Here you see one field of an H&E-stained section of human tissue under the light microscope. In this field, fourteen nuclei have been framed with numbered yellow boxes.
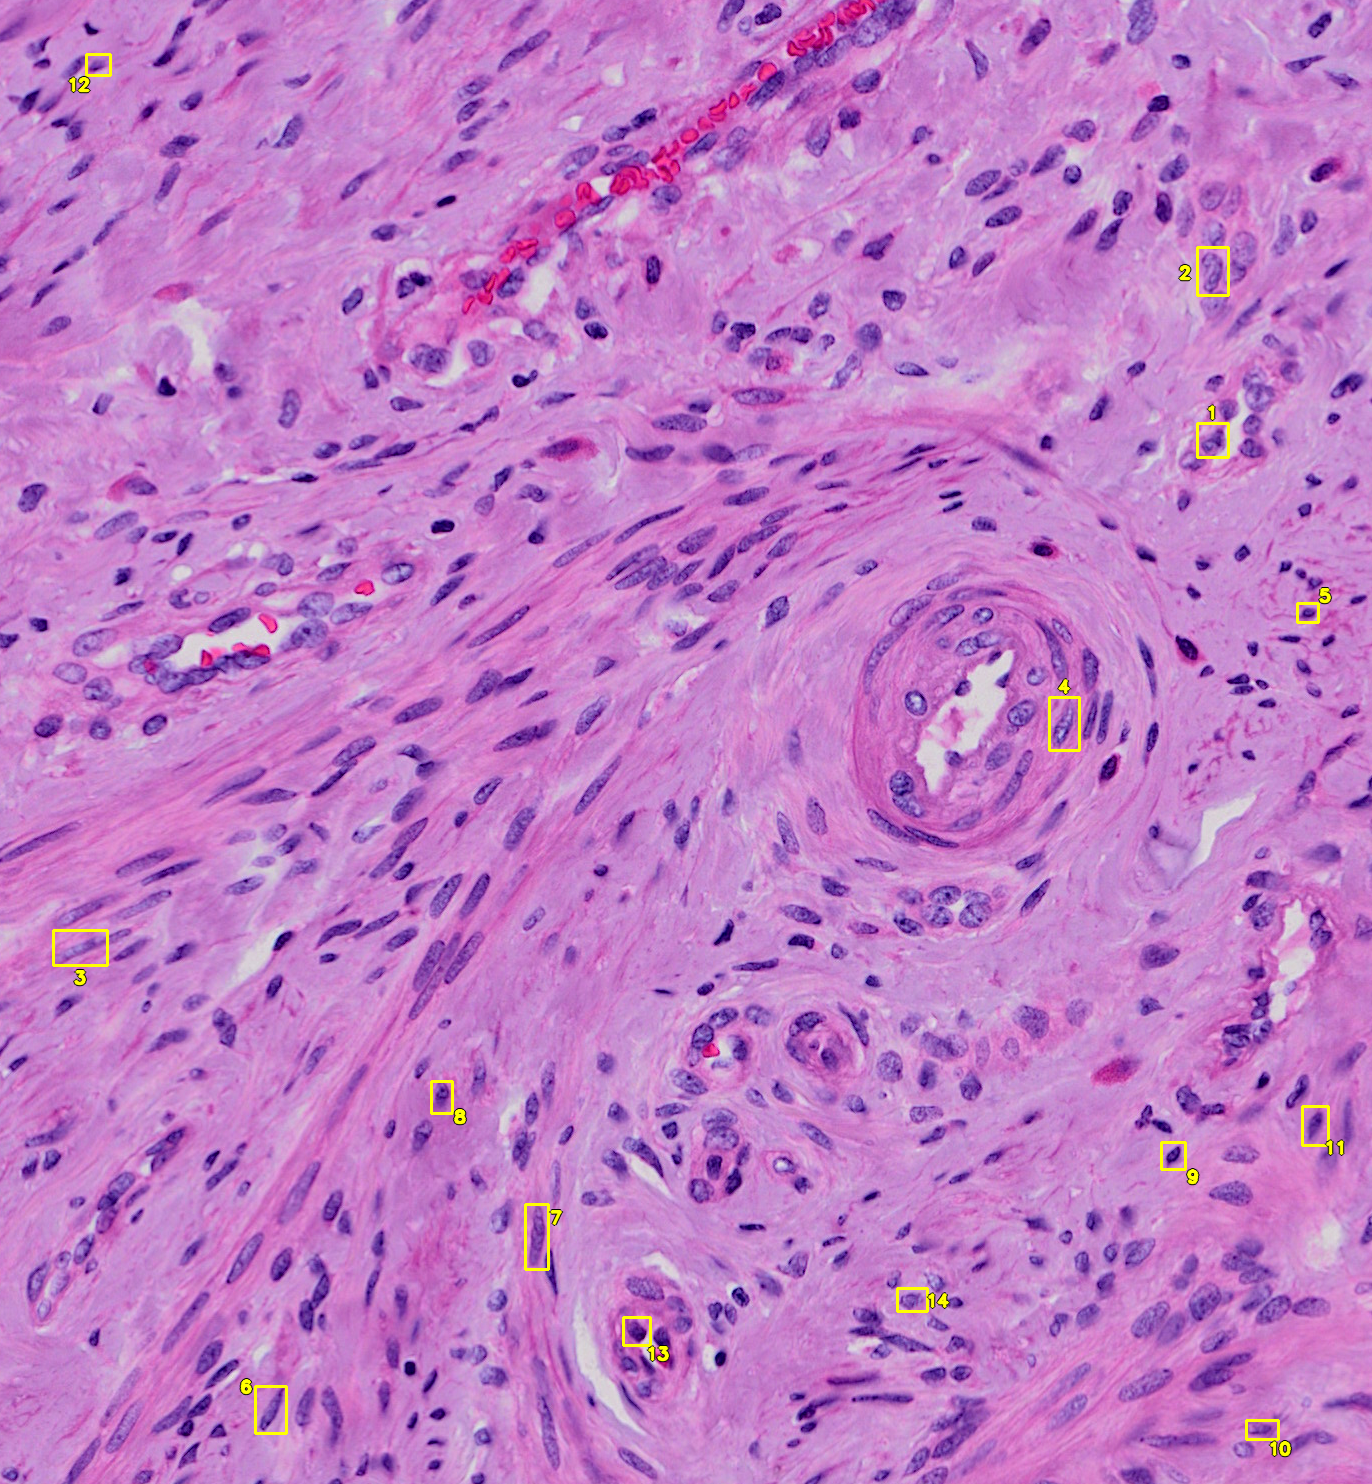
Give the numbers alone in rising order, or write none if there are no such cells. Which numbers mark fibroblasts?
6, 9, 11, 12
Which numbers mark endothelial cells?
1, 2, 13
